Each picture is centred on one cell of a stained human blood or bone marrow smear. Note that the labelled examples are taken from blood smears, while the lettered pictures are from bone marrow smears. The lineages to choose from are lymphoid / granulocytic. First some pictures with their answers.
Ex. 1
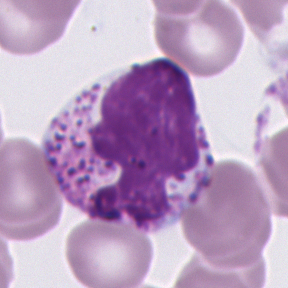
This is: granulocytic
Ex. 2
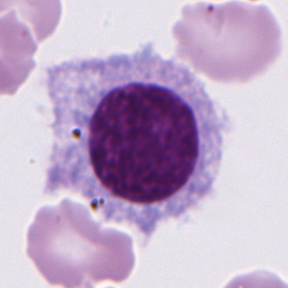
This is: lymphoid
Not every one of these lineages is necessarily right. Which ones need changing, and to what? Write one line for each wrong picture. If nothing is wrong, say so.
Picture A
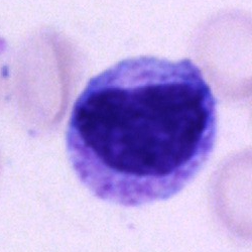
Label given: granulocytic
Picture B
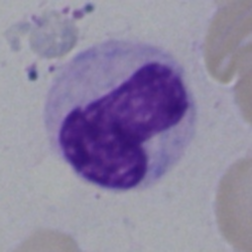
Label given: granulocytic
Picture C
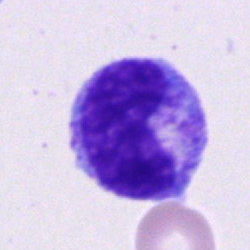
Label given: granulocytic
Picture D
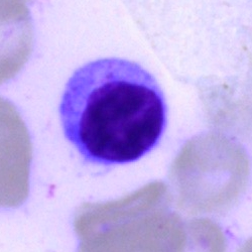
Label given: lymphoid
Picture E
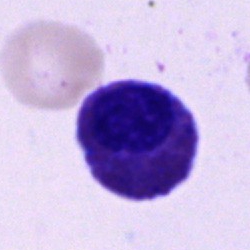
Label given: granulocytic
Nothing to fix; every label fits.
